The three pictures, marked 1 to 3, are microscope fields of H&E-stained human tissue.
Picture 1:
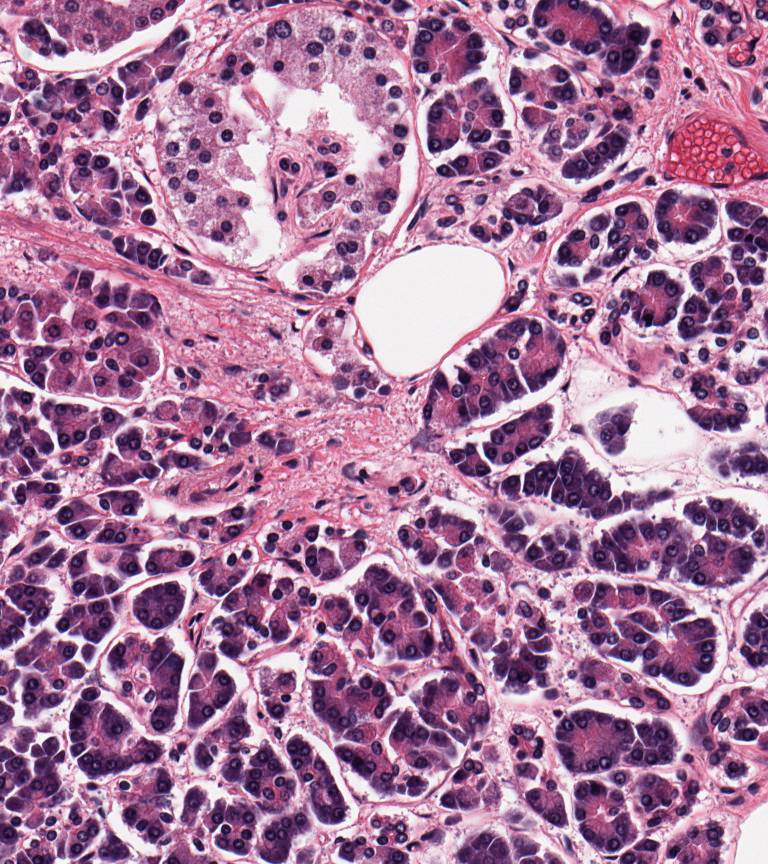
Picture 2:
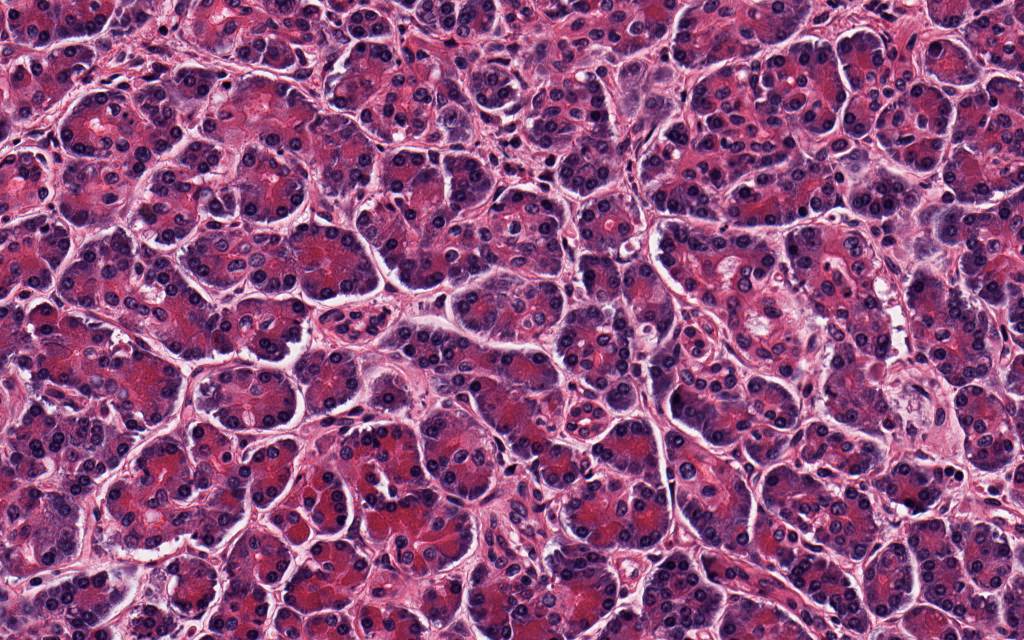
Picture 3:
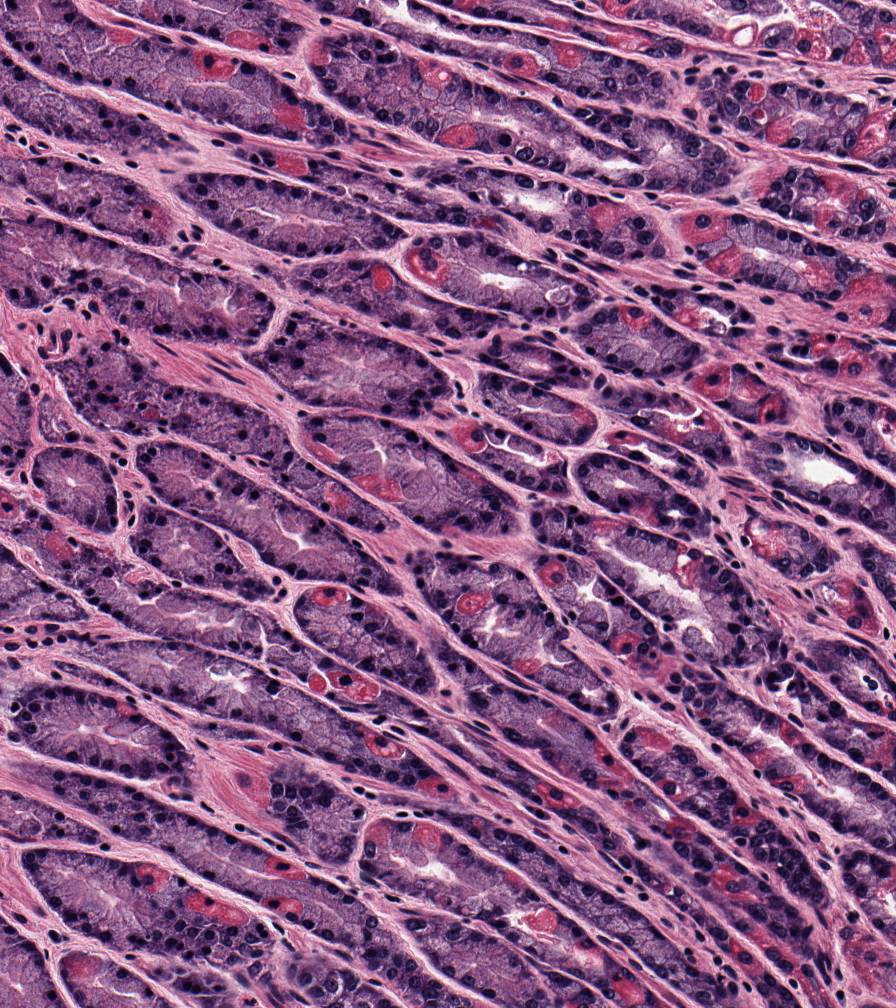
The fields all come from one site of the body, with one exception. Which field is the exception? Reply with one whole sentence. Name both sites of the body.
Picture 3 is the odd one out: it comes from the stomach, while the others come from the pancreas.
